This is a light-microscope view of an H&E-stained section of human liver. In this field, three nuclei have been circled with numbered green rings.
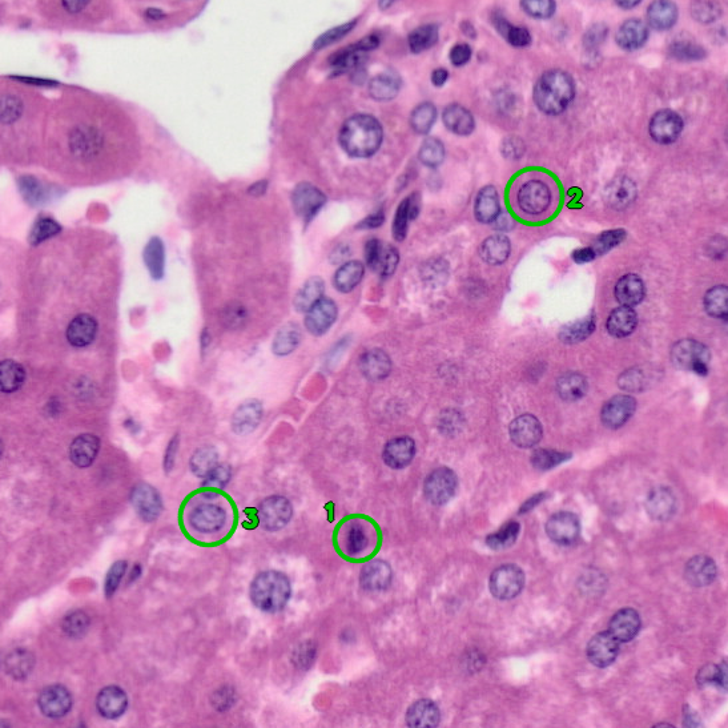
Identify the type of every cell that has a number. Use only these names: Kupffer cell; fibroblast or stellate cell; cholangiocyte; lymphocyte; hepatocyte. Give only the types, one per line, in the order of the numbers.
fibroblast or stellate cell
hepatocyte
cholangiocyte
